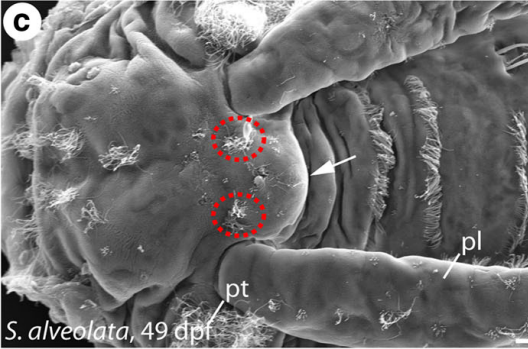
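Dorsal surface of a larva showing the larval median organ lying between the bases of two long, cylindrical palps. The median organ is a smooth, rounded lobe on the midline, with two paired ciliated tufts at its base. Behind it the trunk shows transverse folds with rows of short cilia. The head surface carries scattered small ciliary clusters, and a ciliated band margin is visible at the lower left next to the palp base.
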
